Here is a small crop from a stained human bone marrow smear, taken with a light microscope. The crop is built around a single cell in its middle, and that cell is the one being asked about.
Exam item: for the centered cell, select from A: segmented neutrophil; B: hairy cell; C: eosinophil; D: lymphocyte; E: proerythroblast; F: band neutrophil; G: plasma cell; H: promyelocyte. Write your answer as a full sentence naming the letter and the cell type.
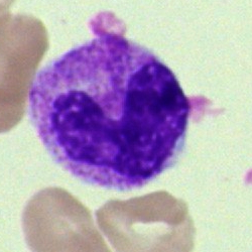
The cell at the heart of the crop is a band neutrophil, so choose option F.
